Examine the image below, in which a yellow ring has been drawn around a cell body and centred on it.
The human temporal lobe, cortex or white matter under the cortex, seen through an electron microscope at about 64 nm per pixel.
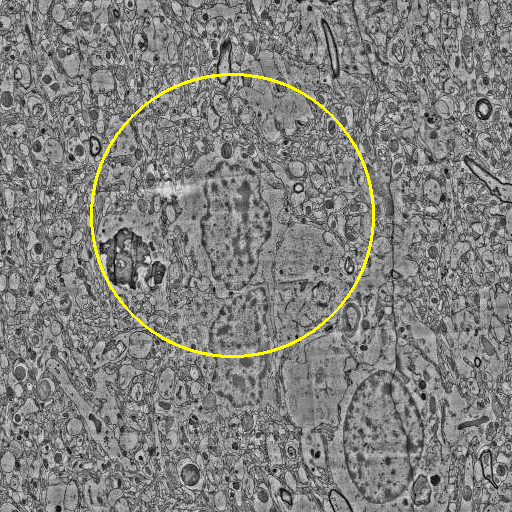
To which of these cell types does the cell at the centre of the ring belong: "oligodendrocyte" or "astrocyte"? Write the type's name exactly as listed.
astrocyte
